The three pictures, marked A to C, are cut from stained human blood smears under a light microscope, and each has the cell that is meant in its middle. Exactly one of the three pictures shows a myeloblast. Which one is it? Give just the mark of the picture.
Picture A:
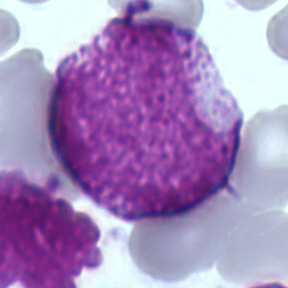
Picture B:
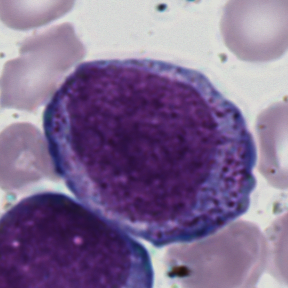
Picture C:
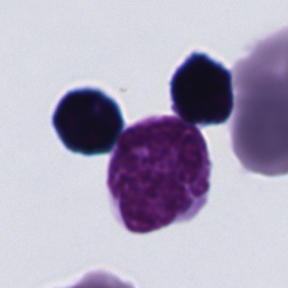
C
